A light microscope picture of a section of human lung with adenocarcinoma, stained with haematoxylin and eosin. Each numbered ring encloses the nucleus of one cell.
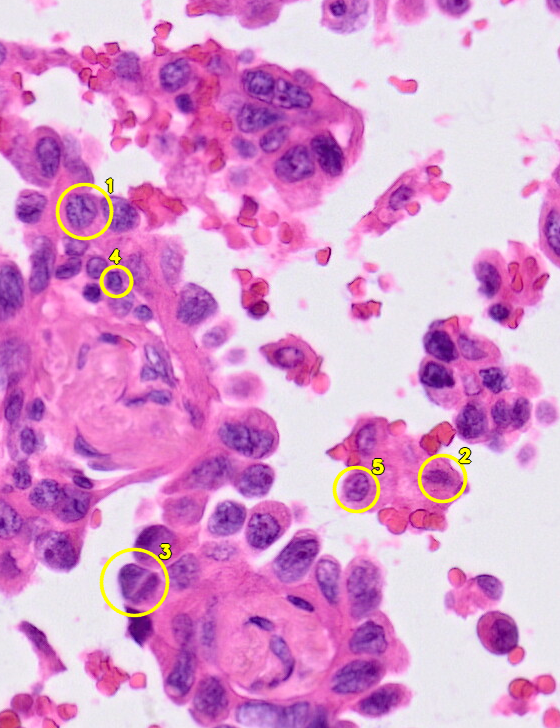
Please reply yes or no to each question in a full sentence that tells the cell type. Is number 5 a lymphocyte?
No, it is a macrophage or monocyte, not a lymphocyte, that number 5 marks.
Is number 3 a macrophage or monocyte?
No, a carcinoma cell is what cell 3 is, not a macrophage or monocyte.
